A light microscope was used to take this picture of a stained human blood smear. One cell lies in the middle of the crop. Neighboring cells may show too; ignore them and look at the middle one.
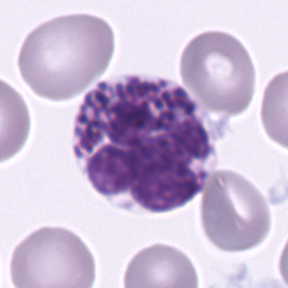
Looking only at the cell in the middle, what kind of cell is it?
basophil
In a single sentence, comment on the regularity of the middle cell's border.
No surface projections are present; the cell outline is smooth.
